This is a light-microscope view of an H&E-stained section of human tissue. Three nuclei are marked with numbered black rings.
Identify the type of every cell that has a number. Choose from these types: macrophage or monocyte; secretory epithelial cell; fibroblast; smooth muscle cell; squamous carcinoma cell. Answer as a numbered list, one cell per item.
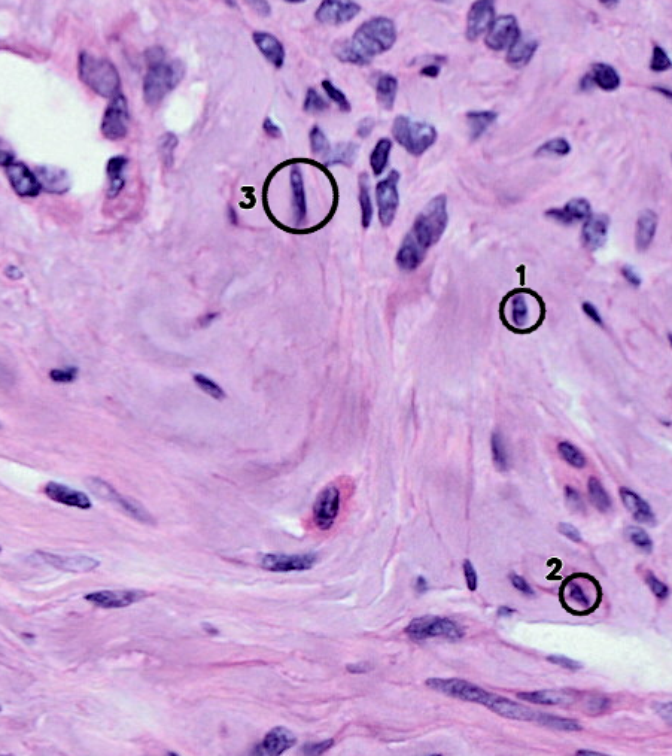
1. fibroblast
2. smooth muscle cell
3. fibroblast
